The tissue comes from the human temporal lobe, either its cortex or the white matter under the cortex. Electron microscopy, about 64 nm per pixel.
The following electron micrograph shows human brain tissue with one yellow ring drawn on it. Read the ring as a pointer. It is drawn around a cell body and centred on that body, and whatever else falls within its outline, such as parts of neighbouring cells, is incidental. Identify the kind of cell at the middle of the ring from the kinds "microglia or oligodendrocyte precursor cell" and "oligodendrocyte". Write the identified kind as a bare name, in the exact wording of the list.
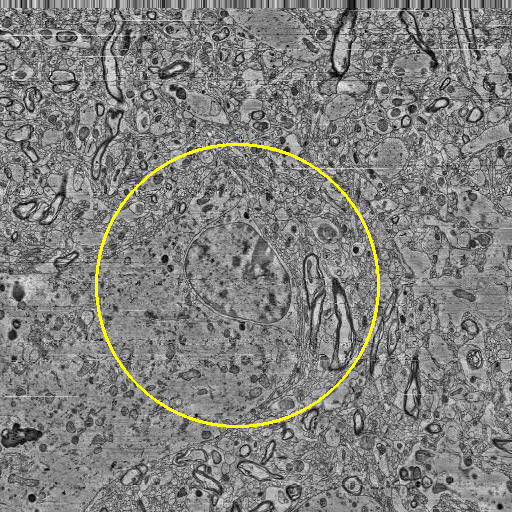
microglia or oligodendrocyte precursor cell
